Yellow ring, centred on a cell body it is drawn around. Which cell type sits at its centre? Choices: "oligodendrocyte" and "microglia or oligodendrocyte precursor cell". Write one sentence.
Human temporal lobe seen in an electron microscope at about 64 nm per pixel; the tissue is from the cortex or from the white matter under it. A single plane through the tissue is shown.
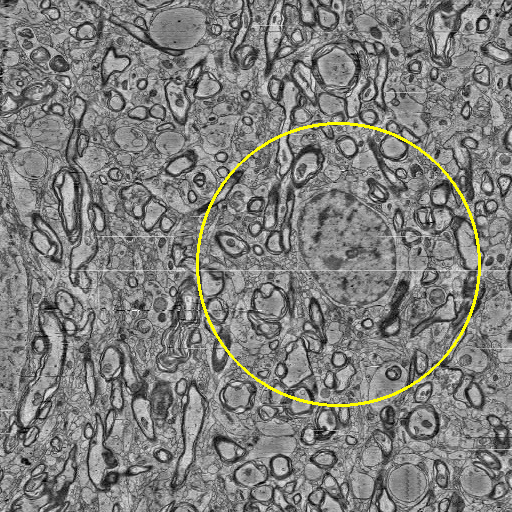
At the centre of the ring sits a microglial cell or oligodendrocyte precursor cell.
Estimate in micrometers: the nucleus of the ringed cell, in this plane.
About 8 by 6 micrometers, in this plane.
